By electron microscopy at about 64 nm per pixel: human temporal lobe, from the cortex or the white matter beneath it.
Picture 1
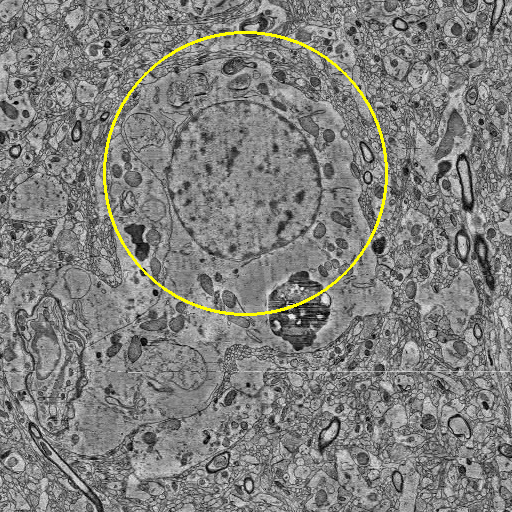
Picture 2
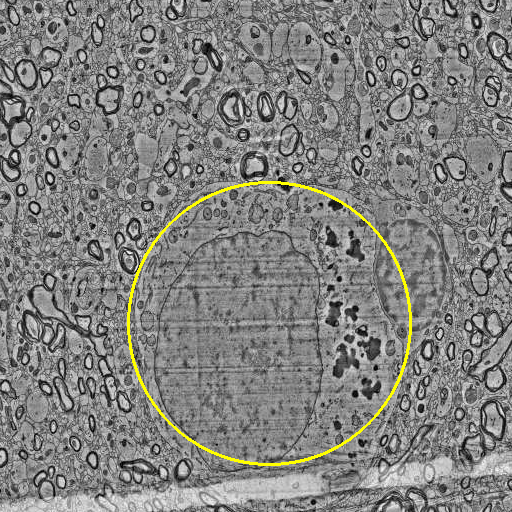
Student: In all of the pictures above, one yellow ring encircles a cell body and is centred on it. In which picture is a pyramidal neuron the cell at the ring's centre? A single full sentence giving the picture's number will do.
Picture number 2 has the wanted cell right at the centre of its ring.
